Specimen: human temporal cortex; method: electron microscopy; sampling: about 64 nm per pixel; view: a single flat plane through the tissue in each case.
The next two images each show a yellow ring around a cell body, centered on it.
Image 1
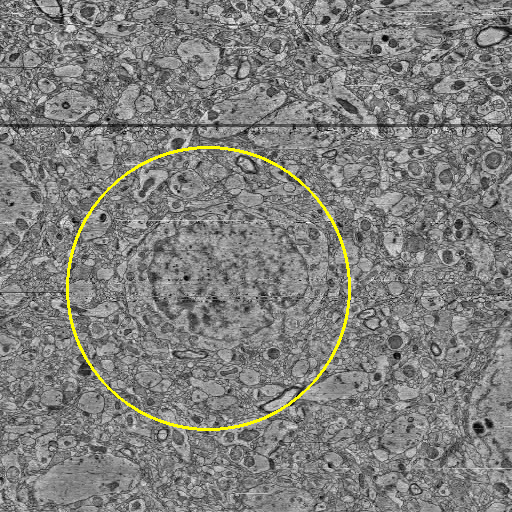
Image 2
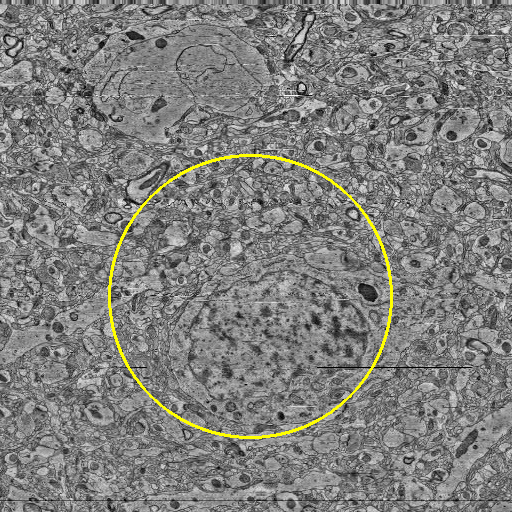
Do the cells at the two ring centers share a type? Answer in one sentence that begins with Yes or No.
Yes, across the two images the cells at the ring centers share one type.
